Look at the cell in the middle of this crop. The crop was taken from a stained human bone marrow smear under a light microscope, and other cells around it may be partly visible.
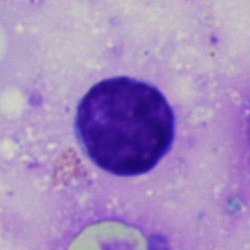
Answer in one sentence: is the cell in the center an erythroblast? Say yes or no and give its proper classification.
No, the middle cell is classified as a lymphocyte and not as an erythroblast.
